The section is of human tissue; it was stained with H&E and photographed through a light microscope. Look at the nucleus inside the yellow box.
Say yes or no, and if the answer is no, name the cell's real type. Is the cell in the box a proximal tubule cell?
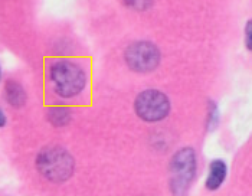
Yes.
